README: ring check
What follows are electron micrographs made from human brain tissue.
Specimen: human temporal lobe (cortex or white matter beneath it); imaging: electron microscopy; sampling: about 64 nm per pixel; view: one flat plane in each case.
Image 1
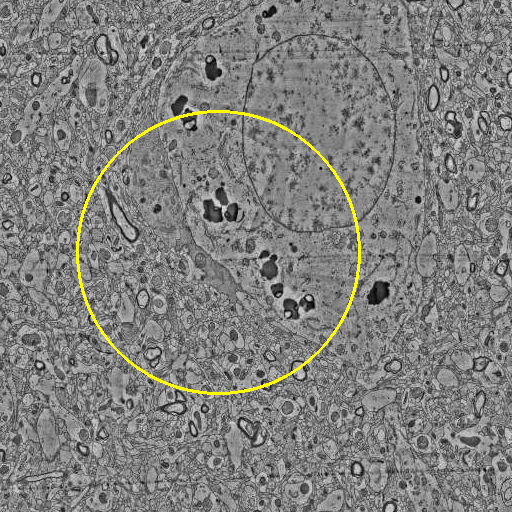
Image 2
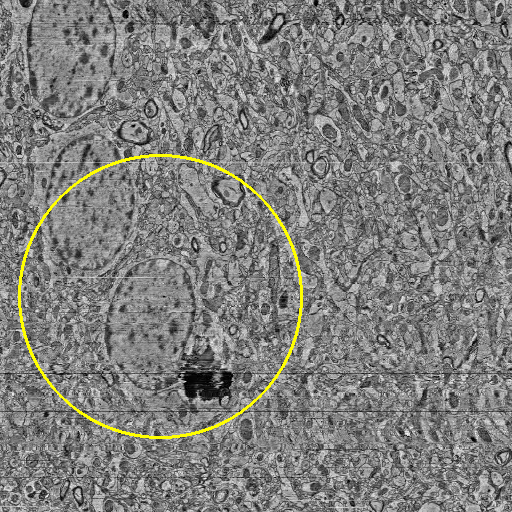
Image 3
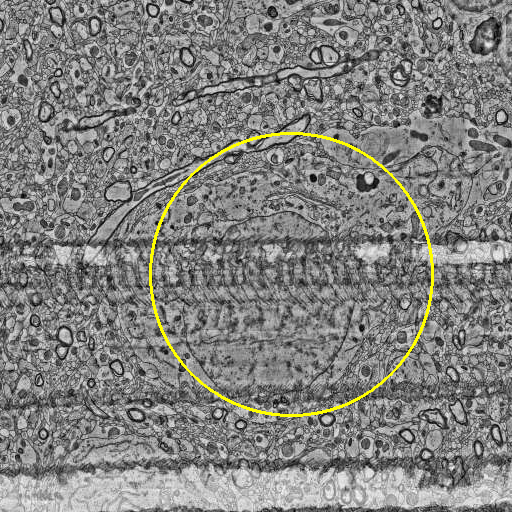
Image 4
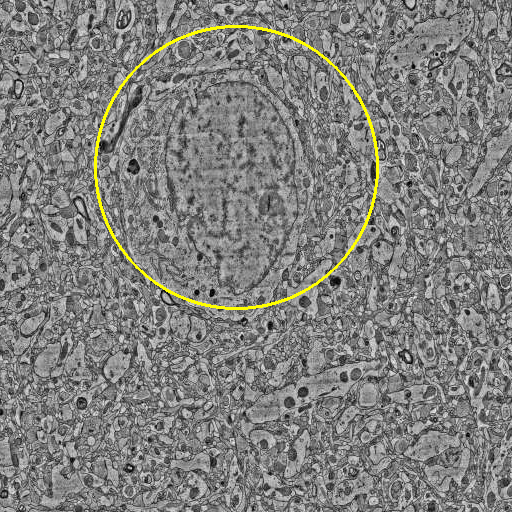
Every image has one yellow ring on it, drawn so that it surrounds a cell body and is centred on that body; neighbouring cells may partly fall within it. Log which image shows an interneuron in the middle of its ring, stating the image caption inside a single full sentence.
Image 4 is where the cell at the ring's centre matches the one asked for.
